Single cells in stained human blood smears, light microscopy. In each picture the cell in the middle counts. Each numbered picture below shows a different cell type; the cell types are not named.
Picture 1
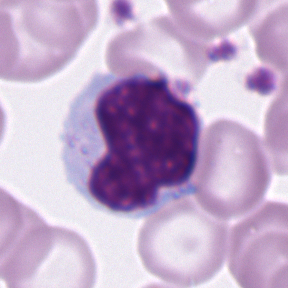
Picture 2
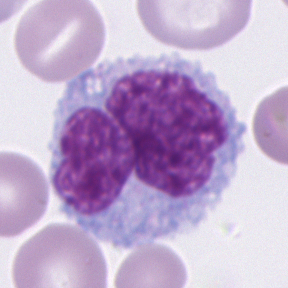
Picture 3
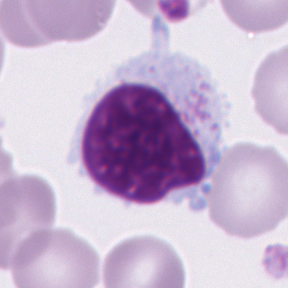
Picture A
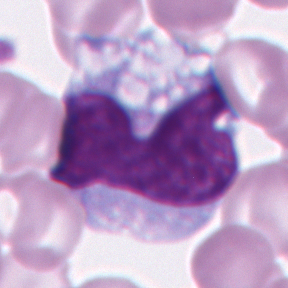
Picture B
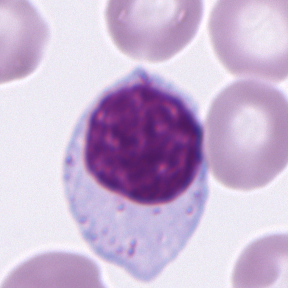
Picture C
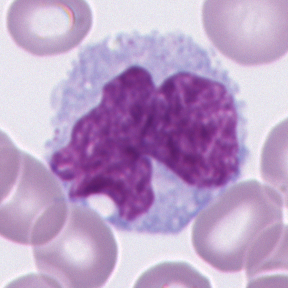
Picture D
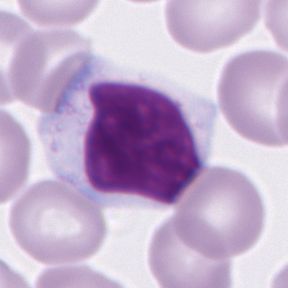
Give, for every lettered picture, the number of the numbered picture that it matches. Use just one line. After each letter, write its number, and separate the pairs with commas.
A 2, B 3, C 2, D 3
